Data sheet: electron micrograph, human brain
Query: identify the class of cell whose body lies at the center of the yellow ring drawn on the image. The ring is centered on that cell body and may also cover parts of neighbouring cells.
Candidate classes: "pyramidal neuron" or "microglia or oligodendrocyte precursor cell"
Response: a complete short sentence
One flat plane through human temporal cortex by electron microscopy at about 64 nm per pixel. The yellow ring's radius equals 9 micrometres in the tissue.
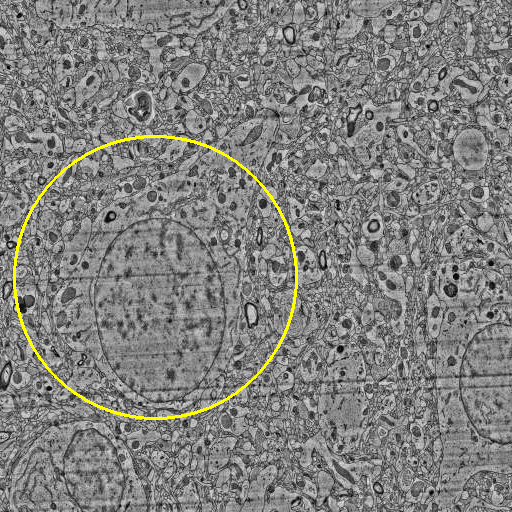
At the center of the ring lies a pyramidal neuron.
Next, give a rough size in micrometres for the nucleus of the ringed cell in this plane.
In this plane the nucleus is about 11 micrometres by 9.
